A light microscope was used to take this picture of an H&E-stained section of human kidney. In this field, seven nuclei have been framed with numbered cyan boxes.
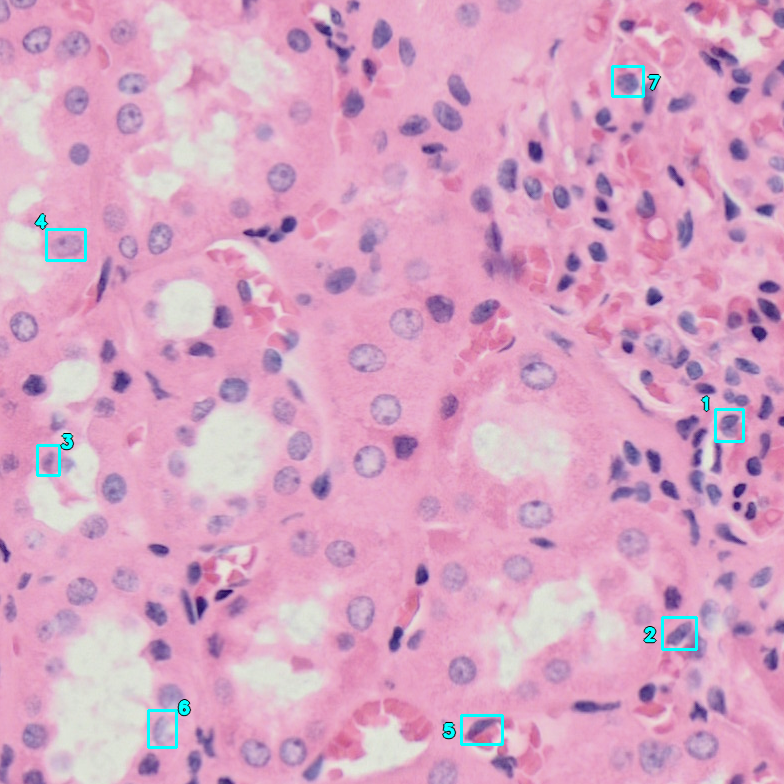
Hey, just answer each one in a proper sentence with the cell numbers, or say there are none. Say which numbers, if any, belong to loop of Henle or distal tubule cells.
The identity of cells 3 and 6: they are loop of Henle or distal tubule cells.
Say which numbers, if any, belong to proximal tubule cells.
Among the cells marked with numbers, the only one that is a proximal tubule cell is number 4.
